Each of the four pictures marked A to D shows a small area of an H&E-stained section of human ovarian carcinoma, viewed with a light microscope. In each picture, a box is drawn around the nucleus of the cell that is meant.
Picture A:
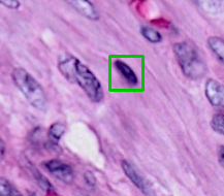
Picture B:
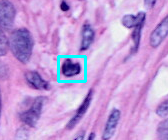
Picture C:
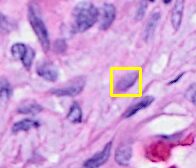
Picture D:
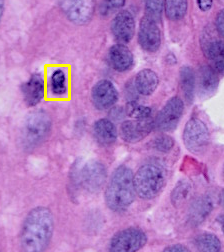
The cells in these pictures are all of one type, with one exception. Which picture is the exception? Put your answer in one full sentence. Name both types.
Picture C differs, because its cell is a fibroblast and the rest are lymphocytes.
